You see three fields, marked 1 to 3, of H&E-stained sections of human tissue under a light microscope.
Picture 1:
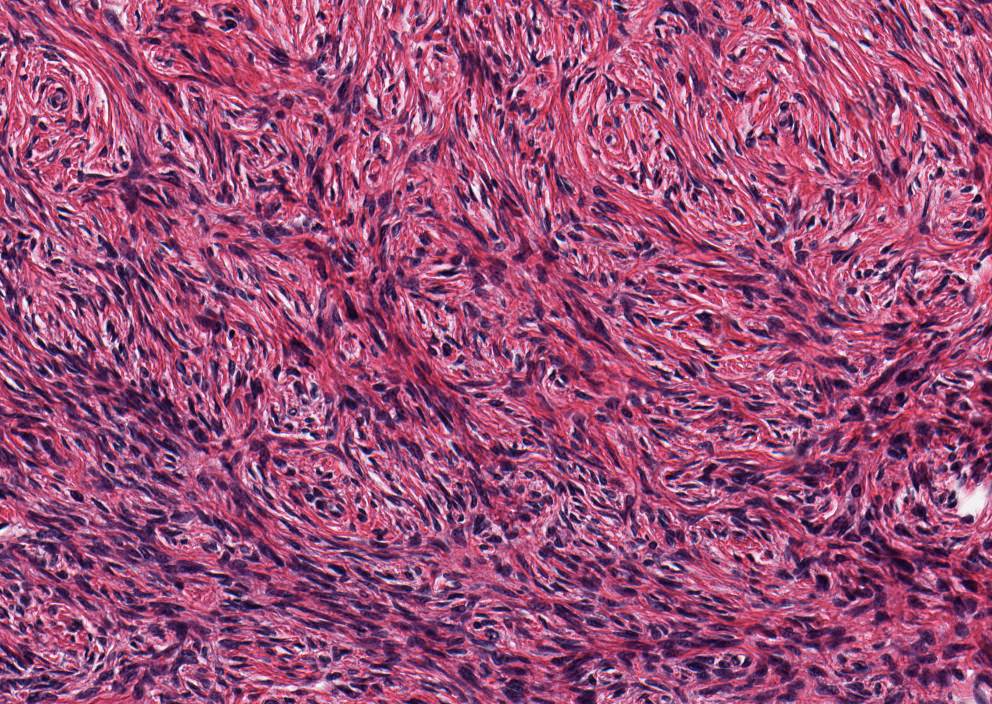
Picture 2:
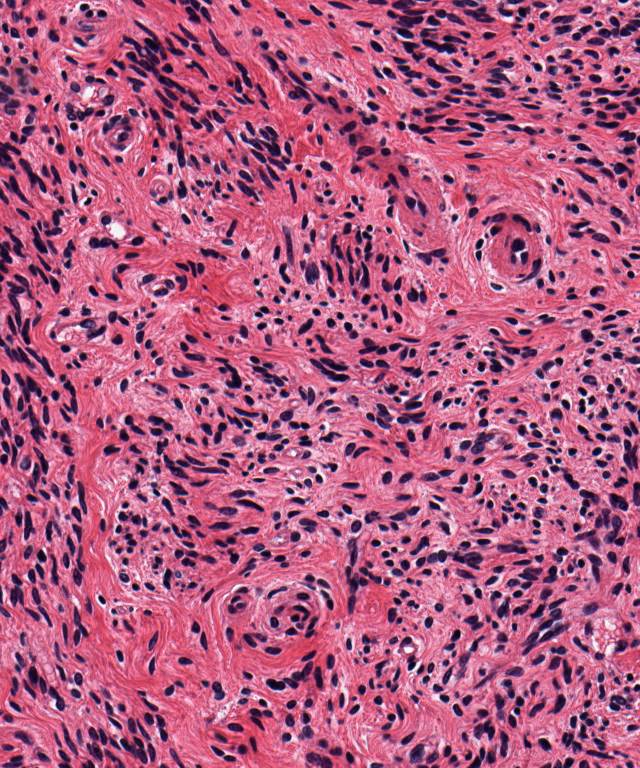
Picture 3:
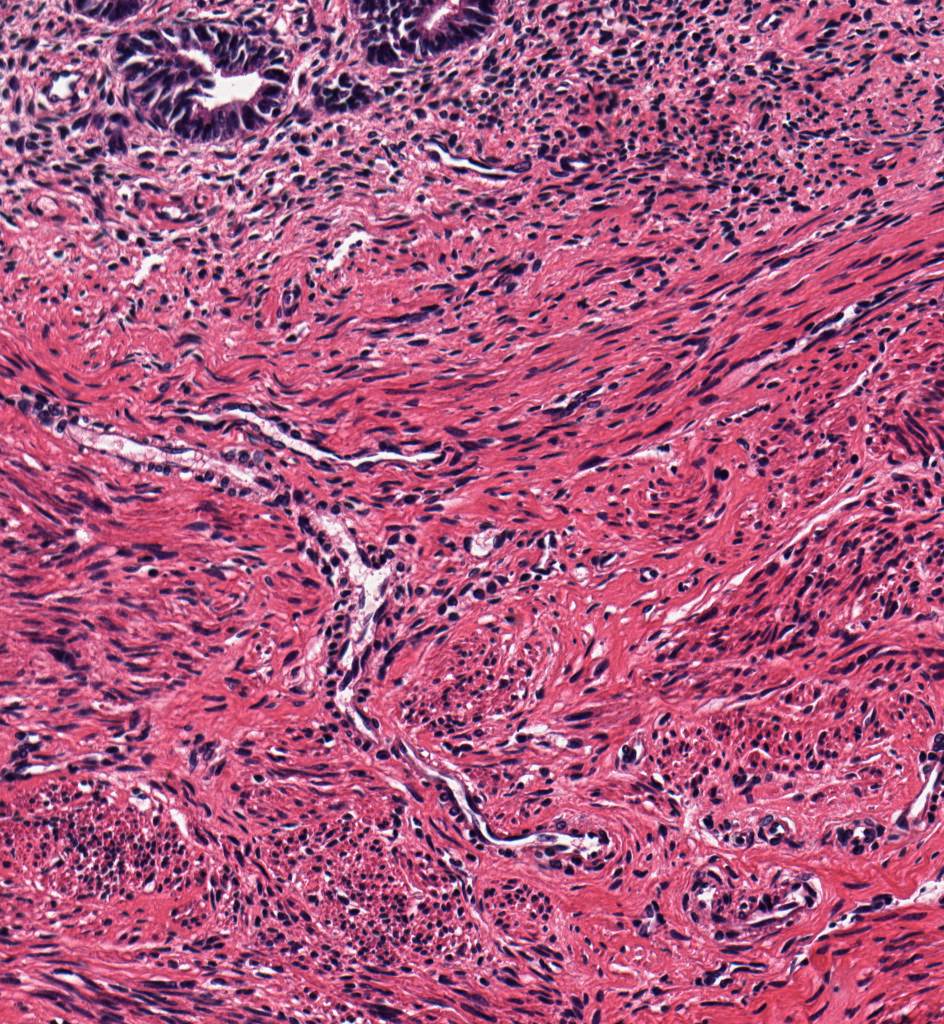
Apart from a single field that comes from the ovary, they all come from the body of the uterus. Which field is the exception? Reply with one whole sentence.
Picture 1 comes from the ovary.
